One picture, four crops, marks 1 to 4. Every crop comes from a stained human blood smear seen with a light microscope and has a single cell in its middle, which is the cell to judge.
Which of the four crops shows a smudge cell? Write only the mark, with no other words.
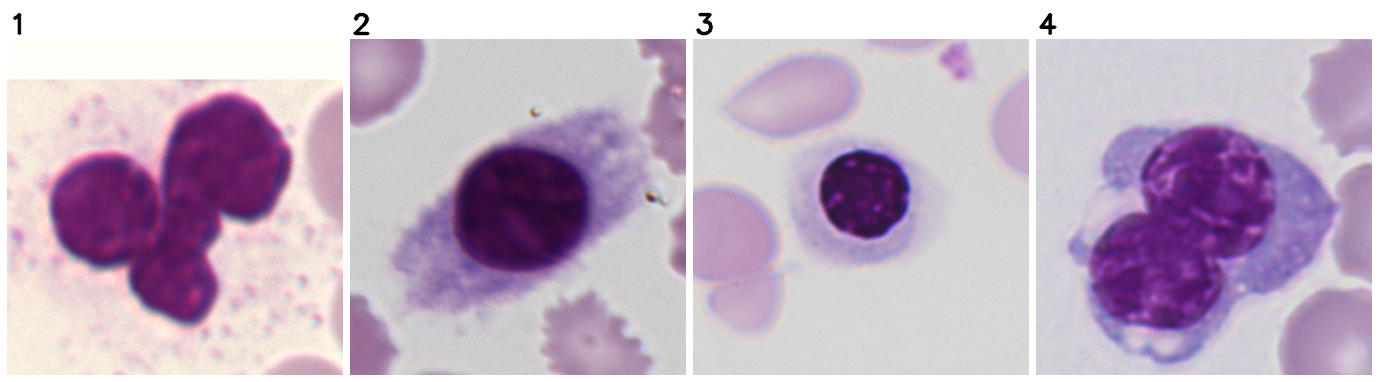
1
